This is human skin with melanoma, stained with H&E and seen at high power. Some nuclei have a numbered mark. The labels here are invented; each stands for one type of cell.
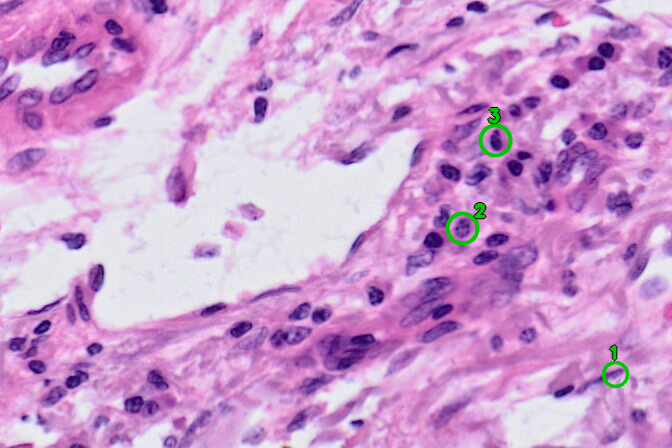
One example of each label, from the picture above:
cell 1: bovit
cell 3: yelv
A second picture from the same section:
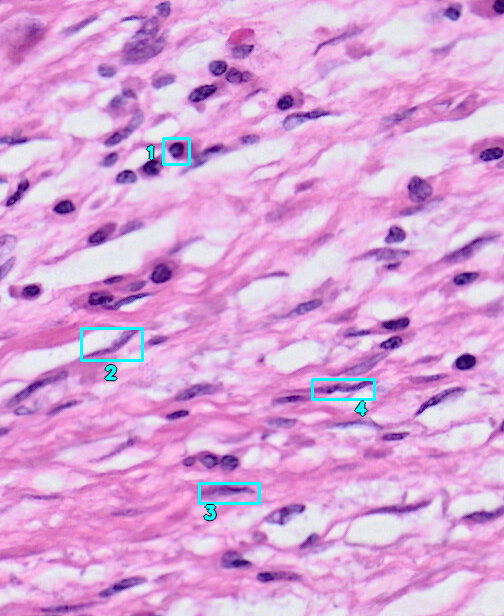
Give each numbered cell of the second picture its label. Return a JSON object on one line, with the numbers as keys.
{"1": "yelv", "2": "bovit", "3": "bovit", "4": "bovit"}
